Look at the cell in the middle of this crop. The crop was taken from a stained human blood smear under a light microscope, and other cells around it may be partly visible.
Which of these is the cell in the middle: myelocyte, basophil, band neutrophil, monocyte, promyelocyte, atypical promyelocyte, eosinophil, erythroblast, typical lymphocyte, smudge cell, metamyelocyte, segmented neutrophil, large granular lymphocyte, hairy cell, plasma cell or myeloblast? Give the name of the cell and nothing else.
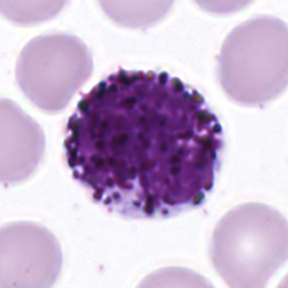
basophil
